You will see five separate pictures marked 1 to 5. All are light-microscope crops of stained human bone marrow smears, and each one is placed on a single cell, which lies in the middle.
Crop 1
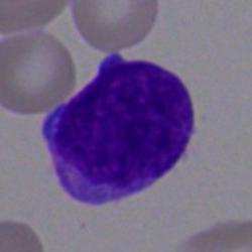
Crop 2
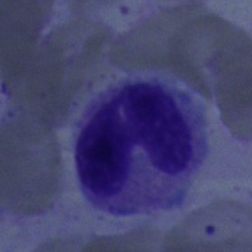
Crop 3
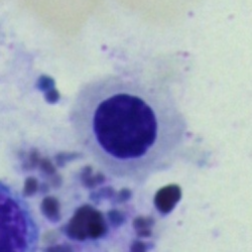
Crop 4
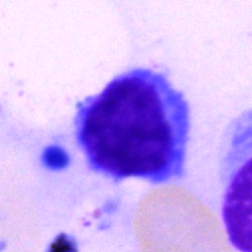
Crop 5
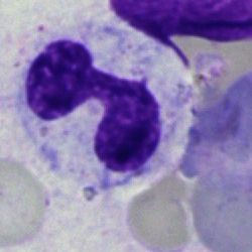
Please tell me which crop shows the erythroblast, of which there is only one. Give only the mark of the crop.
3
